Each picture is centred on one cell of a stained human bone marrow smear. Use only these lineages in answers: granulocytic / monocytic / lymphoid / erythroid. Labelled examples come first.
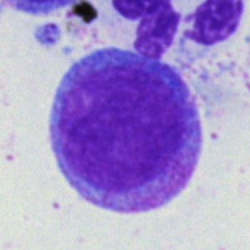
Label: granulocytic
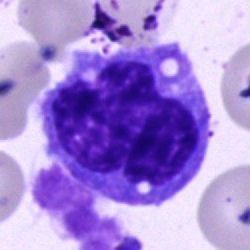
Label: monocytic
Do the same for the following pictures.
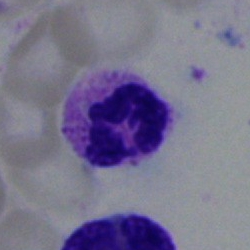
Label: granulocytic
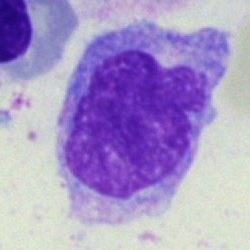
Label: monocytic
